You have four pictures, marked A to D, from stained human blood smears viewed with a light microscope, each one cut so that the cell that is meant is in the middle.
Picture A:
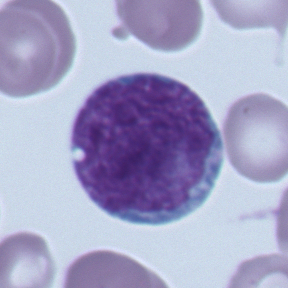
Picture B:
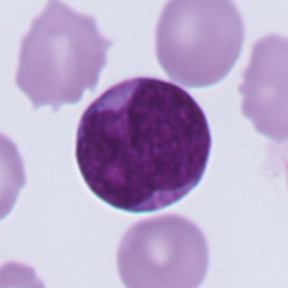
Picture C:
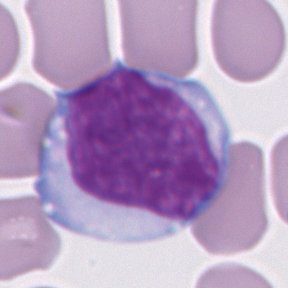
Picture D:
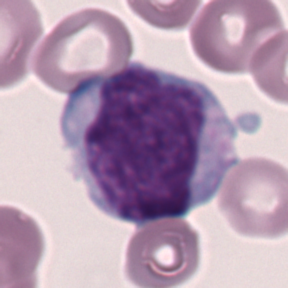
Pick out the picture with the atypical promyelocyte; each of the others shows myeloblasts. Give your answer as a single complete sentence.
The atypical promyelocyte is the one in picture D.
